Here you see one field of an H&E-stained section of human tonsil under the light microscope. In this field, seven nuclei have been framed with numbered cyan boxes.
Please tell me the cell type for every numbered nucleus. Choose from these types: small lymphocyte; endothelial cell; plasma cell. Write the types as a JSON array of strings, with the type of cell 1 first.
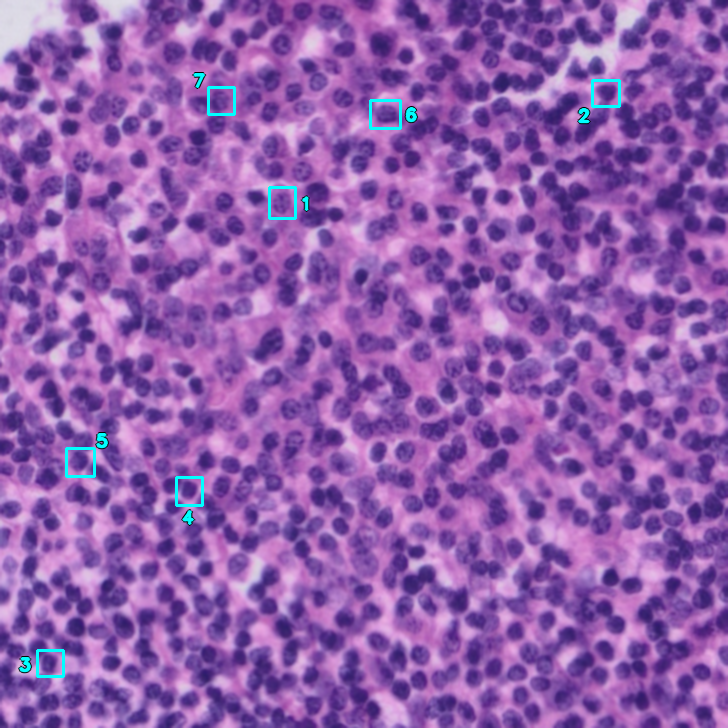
["plasma cell", "small lymphocyte", "small lymphocyte", "small lymphocyte", "small lymphocyte", "plasma cell", "plasma cell"]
